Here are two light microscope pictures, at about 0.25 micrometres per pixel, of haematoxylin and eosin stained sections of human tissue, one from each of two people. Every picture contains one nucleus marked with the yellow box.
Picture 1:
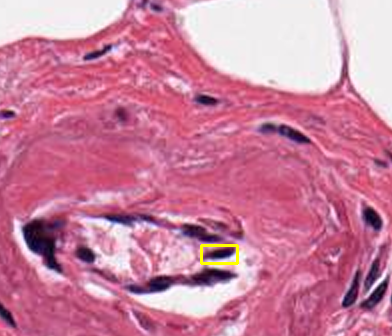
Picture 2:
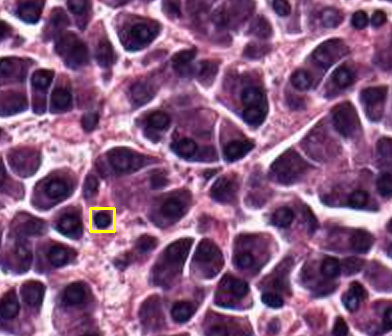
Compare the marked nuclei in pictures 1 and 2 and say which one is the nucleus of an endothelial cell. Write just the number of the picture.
1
